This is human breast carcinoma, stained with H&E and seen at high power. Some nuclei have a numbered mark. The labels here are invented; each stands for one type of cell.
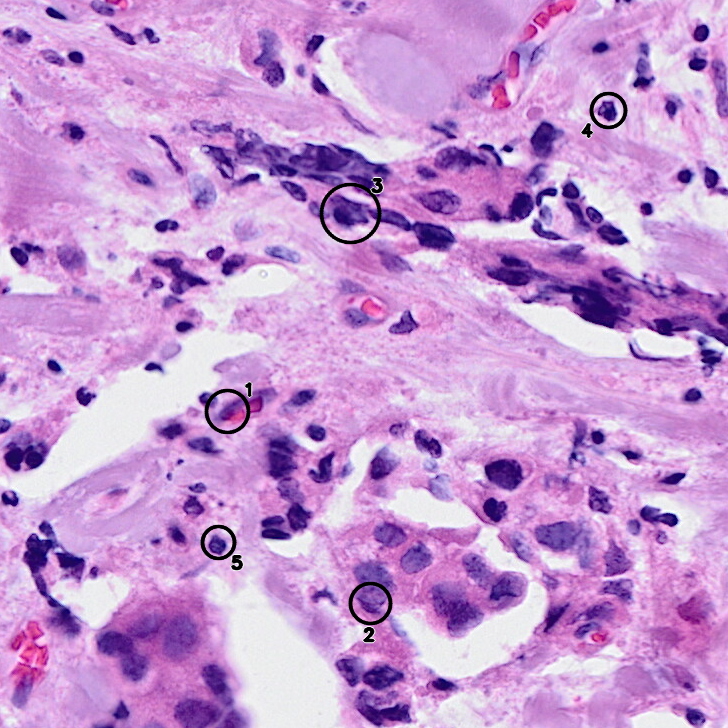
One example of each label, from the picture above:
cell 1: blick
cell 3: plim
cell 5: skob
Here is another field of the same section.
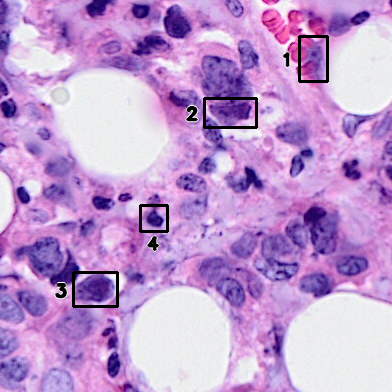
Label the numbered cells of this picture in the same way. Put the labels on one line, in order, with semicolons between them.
blick; plim; plim; skob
